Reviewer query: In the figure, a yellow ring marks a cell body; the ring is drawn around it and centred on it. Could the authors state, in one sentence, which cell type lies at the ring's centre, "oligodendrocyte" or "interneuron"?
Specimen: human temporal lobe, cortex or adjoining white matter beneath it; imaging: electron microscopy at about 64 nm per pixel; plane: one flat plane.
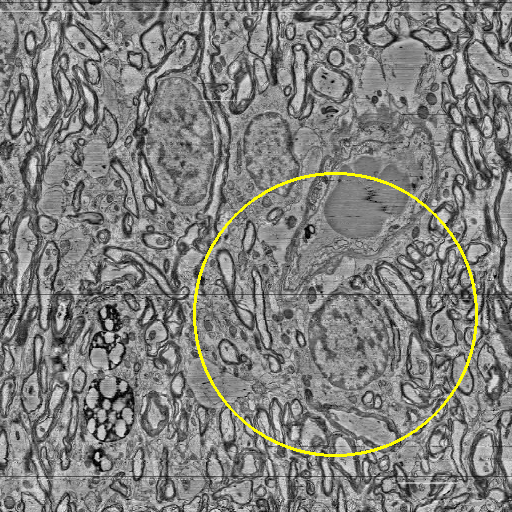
The ring is centred on an oligodendrocyte.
